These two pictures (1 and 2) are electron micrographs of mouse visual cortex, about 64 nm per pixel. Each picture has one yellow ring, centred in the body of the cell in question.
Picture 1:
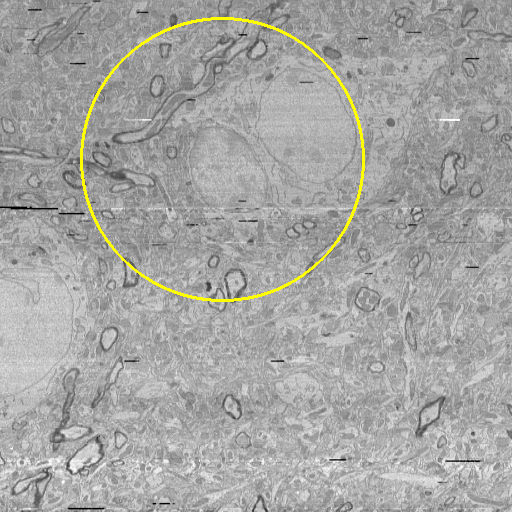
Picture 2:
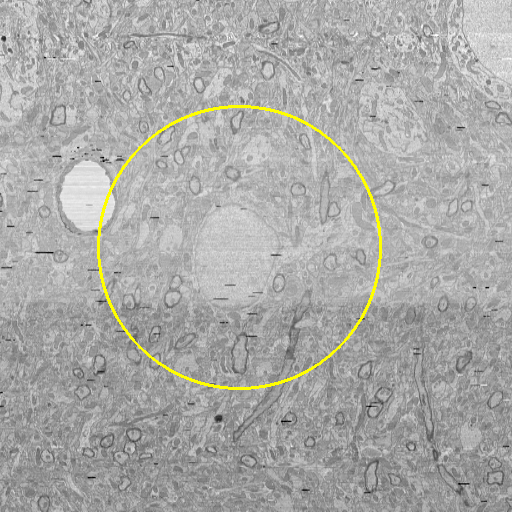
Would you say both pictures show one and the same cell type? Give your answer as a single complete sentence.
No, they differ: the cell is an oligodendrocyte in picture 1 and an astrocyte in picture 2.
